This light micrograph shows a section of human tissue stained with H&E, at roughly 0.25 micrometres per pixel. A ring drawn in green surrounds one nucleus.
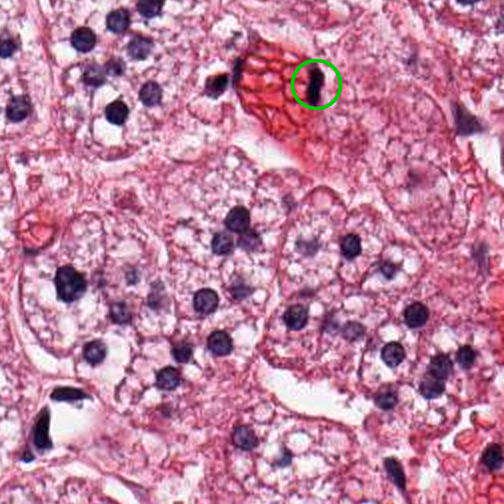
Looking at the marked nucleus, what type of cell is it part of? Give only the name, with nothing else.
endothelial cell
